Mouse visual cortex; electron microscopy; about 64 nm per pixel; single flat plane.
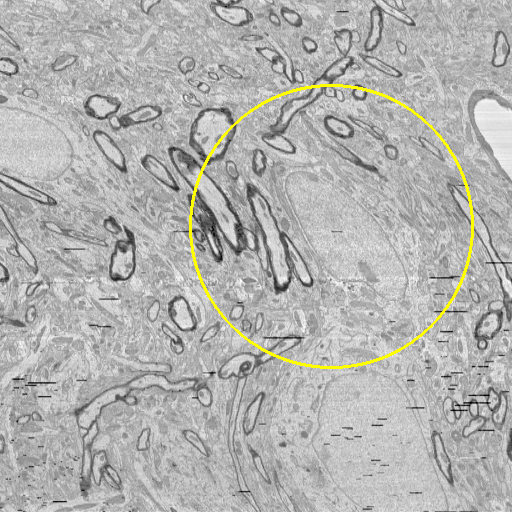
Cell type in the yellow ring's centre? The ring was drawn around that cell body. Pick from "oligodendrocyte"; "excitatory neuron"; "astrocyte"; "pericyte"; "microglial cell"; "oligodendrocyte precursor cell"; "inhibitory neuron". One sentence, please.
The ringed cell body is that of an astrocyte.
